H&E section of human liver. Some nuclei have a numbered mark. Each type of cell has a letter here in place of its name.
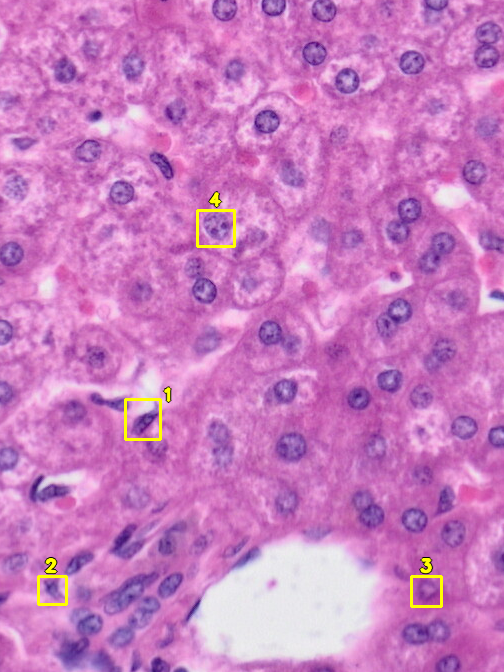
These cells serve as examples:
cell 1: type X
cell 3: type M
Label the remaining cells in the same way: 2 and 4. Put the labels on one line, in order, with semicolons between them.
type X; type M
